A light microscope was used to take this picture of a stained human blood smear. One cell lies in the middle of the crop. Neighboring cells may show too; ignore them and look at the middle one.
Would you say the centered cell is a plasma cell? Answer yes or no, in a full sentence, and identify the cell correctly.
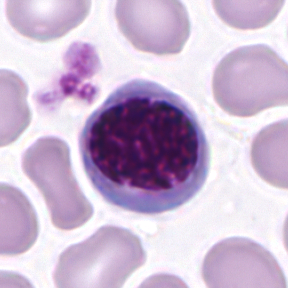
No, instead of a plasma cell, the centred cell represents a normoblast.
